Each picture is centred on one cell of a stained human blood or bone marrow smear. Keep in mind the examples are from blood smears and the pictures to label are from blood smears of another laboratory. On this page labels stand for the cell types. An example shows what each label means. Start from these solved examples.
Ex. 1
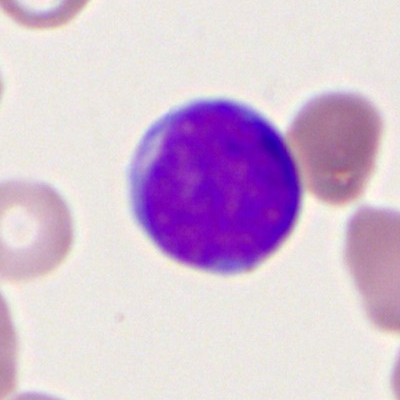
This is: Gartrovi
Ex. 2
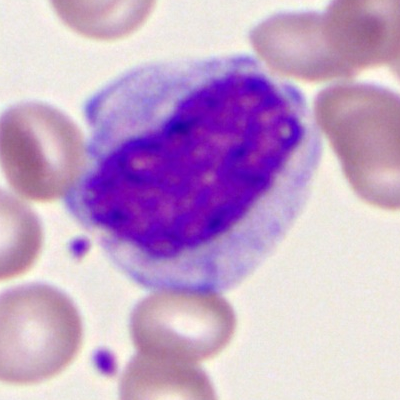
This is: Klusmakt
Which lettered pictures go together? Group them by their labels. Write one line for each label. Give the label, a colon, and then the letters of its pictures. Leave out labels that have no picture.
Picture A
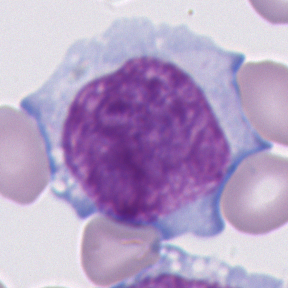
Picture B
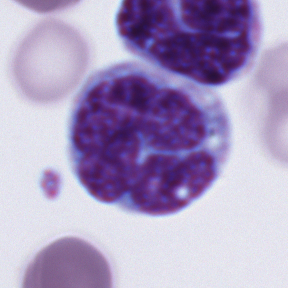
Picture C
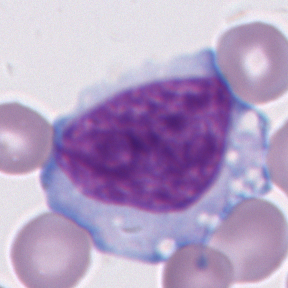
Gartrovi: A, C
Klusmakt: B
